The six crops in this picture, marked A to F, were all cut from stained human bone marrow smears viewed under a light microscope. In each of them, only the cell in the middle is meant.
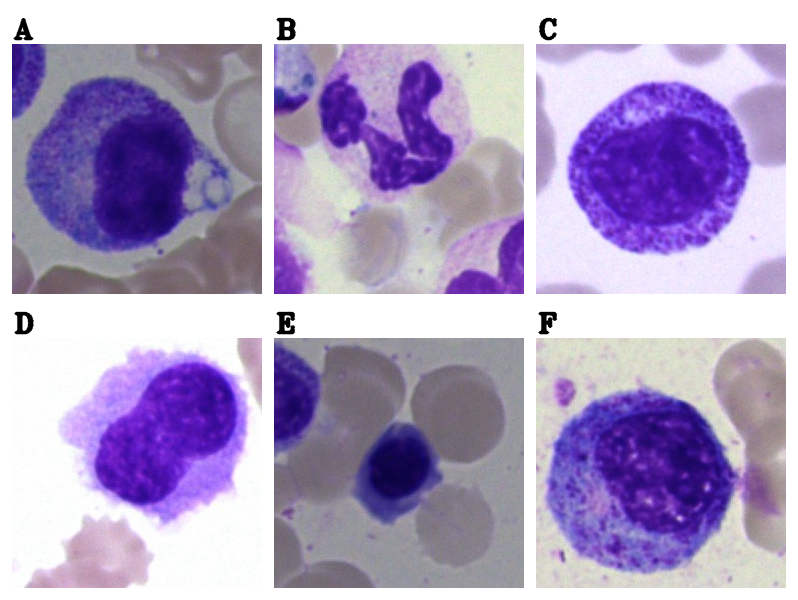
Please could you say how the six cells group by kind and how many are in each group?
promyelocyte: 3
segmented neutrophil: 1
hairy cell: 1
erythroblast: 1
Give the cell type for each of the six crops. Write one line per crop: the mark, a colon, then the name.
A: promyelocyte
B: segmented neutrophil
C: promyelocyte
D: hairy cell
E: erythroblast
F: promyelocyte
